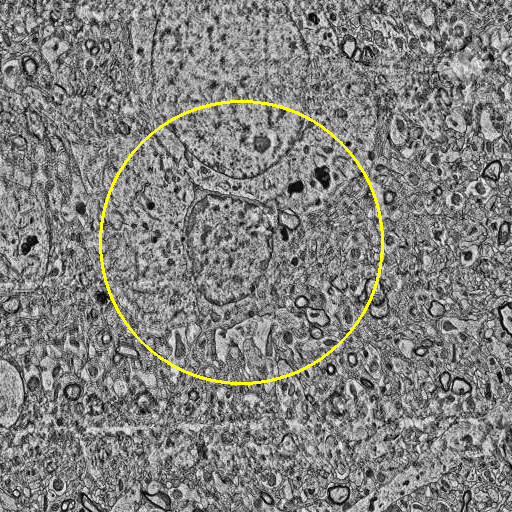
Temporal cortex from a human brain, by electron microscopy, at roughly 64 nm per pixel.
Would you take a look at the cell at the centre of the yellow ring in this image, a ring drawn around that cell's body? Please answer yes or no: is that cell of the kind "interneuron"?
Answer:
no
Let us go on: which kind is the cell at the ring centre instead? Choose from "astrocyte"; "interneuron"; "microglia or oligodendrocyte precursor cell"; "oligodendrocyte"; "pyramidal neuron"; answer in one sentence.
At the centre of the ring sits an oligodendrocyte.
